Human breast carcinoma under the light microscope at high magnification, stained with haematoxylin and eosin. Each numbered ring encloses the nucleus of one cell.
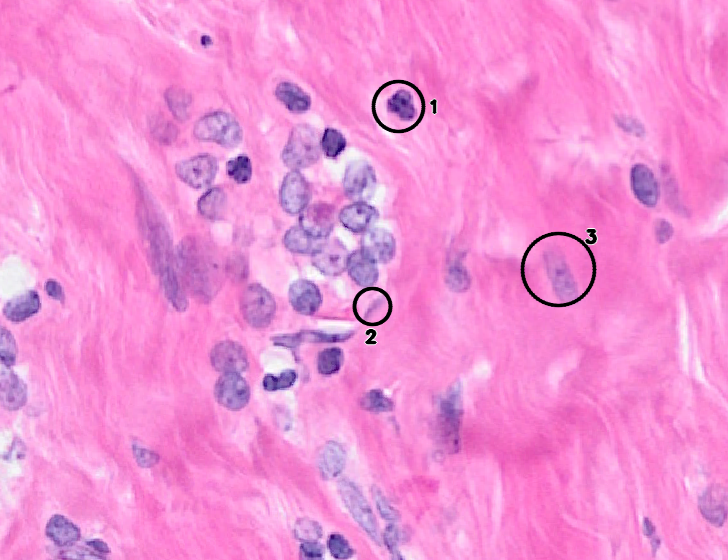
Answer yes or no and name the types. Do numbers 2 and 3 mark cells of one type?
No, the cell tagged 2 is an endothelial cell, whereas the cell tagged 3 is a fibroblast.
